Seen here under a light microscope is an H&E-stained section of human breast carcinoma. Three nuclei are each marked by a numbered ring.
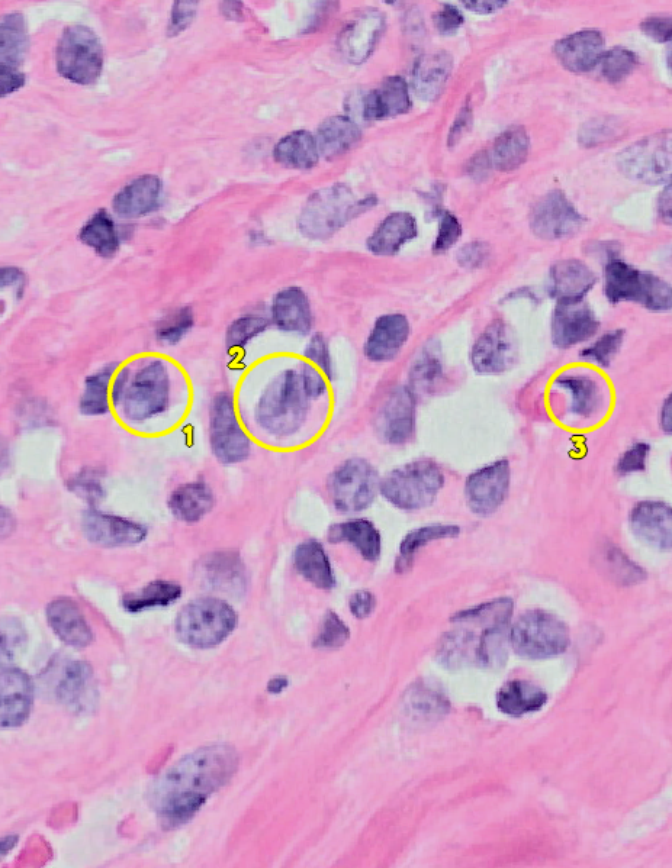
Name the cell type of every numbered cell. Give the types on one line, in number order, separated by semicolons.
carcinoma cell; carcinoma cell; endothelial cell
